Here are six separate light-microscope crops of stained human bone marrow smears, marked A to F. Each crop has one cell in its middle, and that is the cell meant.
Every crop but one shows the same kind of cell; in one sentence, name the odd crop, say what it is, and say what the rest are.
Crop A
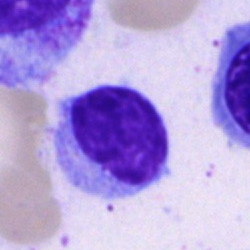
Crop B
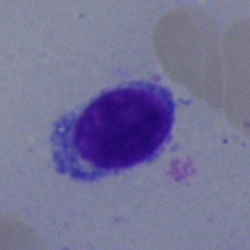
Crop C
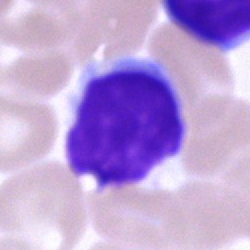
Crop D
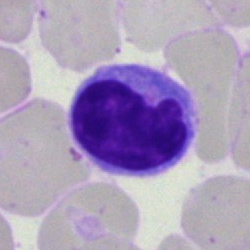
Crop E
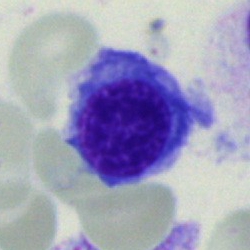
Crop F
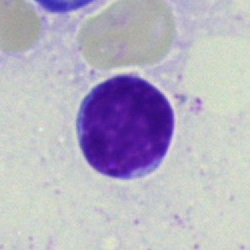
Found in all crops but one are lymphocytes; the exception, crop E, contains an erythroblast.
